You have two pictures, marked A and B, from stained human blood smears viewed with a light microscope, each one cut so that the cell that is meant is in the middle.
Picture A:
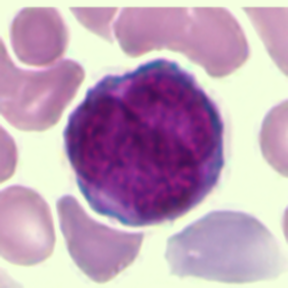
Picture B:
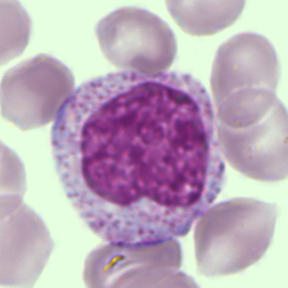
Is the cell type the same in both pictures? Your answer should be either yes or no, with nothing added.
no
